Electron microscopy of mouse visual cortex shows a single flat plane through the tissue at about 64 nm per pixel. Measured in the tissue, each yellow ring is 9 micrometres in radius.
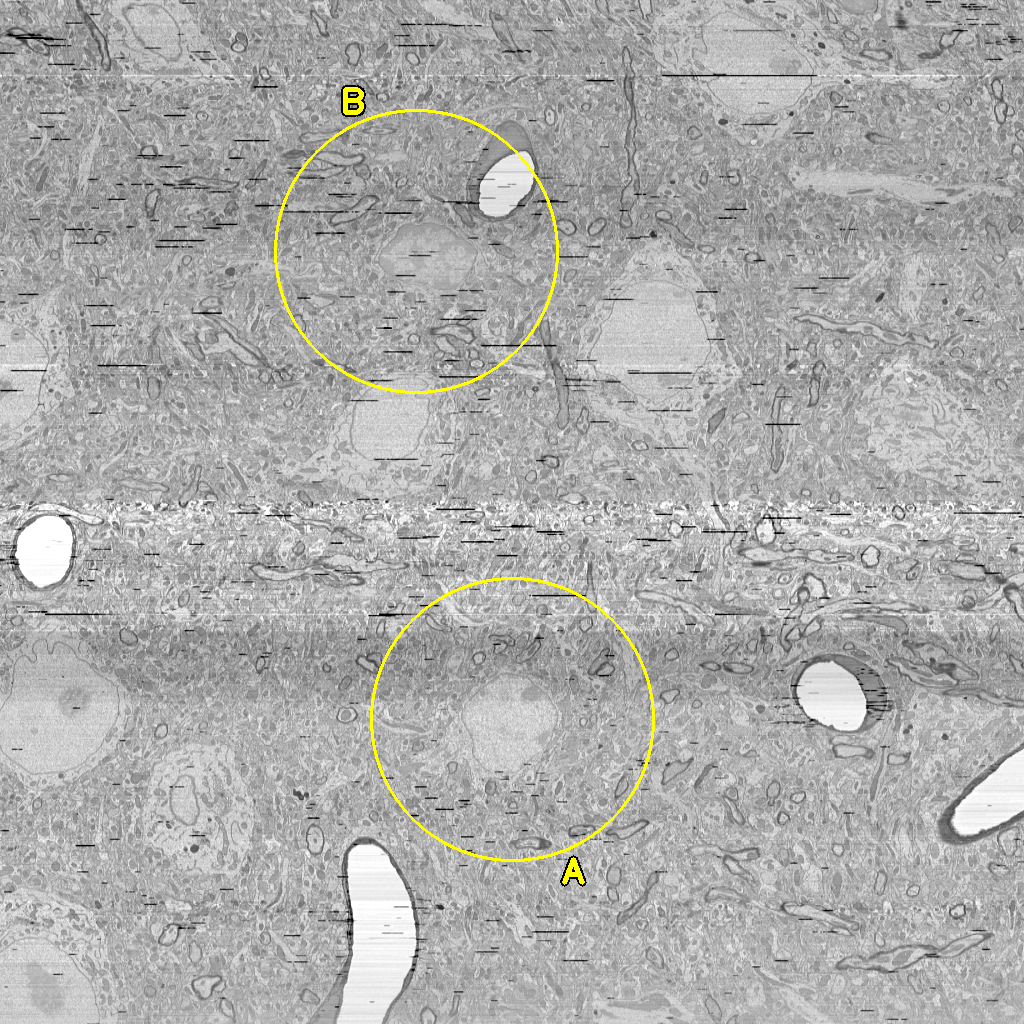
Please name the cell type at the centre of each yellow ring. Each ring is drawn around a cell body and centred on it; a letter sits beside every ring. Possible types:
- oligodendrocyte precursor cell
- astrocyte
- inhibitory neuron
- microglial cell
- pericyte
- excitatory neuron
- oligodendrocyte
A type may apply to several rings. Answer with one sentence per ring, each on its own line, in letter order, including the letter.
Ring A is centred on the cell body of an astrocyte.
Ring B is centred on the cell body of a microglial cell.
